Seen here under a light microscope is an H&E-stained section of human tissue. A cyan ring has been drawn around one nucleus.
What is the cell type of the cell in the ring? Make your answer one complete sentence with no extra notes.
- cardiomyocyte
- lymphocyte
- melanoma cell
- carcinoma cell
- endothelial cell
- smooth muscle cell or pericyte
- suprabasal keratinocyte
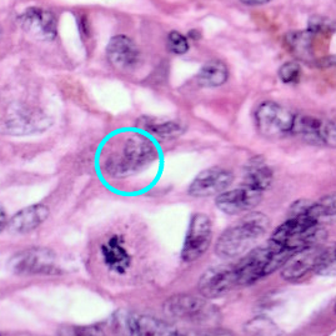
In this section of tissue, the cell in the ring is a melanoma cell.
